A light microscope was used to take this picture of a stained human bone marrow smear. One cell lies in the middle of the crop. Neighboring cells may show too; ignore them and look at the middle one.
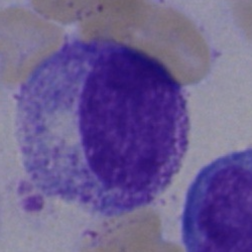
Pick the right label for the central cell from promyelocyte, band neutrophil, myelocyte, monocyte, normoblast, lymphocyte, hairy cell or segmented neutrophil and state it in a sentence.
The cell the crop is centered on is a myelocyte.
